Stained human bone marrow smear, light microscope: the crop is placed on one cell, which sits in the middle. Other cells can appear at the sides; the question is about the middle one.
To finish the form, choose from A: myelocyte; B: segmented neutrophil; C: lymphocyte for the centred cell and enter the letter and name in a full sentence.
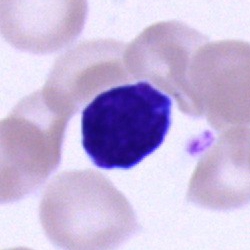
The centered cell is a lymphocyte, which is why option C is right.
